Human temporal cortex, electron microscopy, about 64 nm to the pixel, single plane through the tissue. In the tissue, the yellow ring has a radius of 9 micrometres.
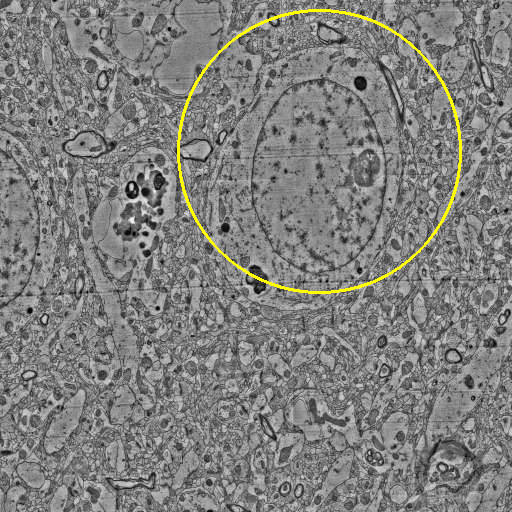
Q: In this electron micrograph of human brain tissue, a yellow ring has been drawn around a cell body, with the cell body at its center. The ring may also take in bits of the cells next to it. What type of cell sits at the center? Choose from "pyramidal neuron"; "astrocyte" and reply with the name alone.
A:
pyramidal neuron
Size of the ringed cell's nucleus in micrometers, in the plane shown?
Roughly 13 by 9 micrometres is the size of the nucleus in this plane.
